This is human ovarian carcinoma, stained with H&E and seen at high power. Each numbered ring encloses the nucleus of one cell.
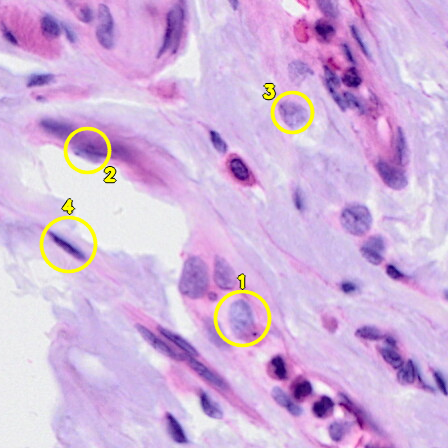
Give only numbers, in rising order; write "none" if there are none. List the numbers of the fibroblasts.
3, 4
